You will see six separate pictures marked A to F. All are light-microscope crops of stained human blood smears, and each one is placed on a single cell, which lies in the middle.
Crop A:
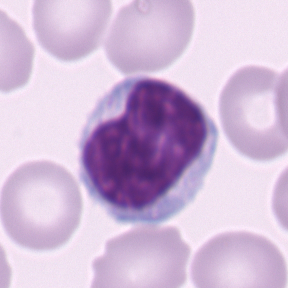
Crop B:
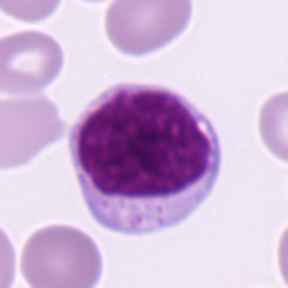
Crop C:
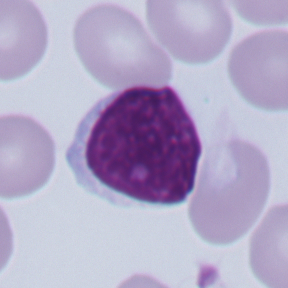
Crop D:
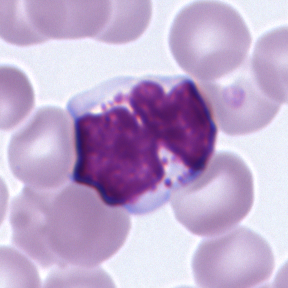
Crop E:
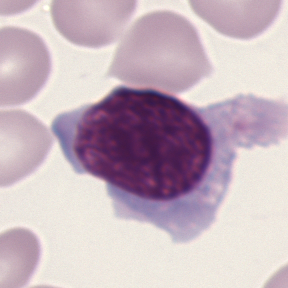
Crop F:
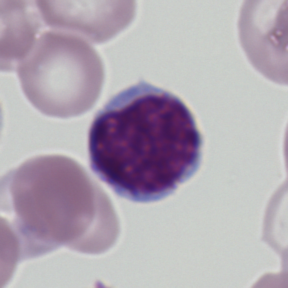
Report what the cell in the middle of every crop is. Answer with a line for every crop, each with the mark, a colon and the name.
A: typical lymphocyte
B: large granular lymphocyte
C: typical lymphocyte
D: large granular lymphocyte
E: typical lymphocyte
F: typical lymphocyte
